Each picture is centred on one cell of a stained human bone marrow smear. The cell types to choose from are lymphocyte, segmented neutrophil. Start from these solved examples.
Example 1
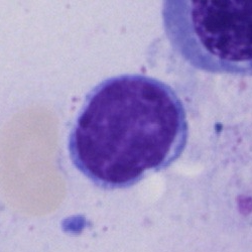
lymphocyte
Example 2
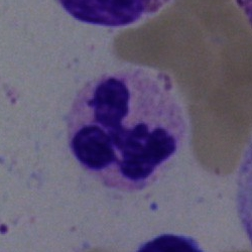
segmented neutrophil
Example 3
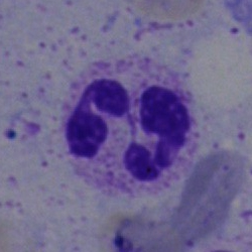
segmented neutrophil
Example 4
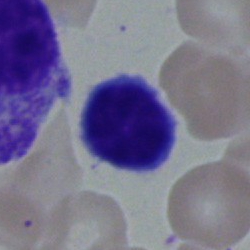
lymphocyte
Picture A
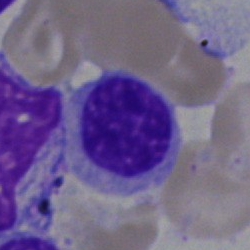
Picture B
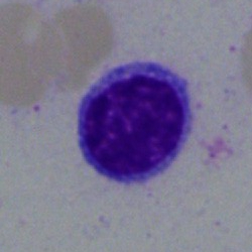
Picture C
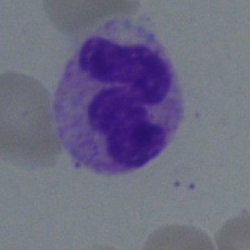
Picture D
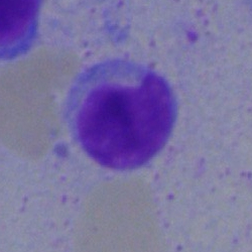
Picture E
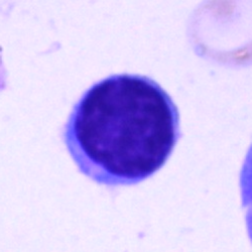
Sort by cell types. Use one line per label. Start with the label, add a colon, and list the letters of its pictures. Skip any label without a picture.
lymphocyte: A, B, D, E
segmented neutrophil: C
